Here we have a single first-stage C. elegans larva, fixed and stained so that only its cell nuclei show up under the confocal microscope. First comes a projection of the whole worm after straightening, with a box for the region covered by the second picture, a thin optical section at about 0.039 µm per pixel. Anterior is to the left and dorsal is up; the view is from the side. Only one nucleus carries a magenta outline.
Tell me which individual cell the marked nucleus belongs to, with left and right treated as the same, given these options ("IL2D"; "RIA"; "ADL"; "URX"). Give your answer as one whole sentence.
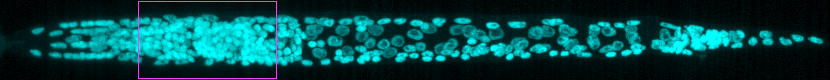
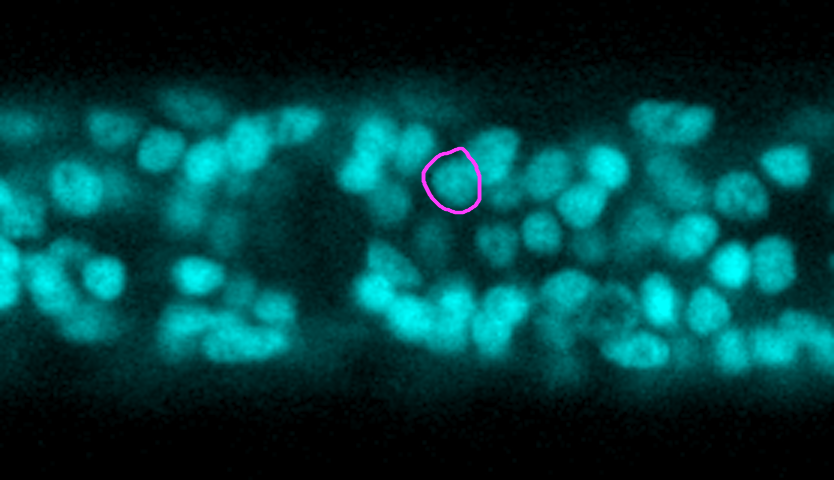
The marked cell is RIA, a neuron.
